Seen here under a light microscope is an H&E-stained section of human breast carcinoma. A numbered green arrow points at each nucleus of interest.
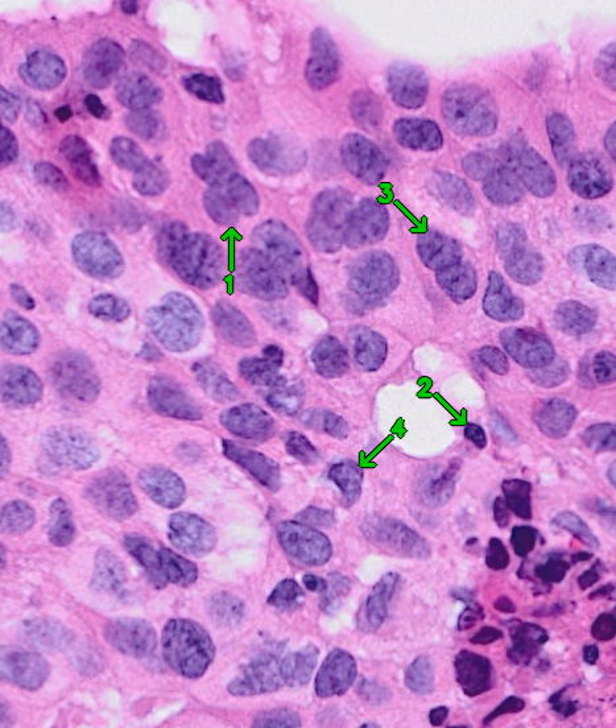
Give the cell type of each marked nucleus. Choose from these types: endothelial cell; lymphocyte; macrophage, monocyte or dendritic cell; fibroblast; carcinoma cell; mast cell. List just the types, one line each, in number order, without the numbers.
carcinoma cell
lymphocyte
carcinoma cell
carcinoma cell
